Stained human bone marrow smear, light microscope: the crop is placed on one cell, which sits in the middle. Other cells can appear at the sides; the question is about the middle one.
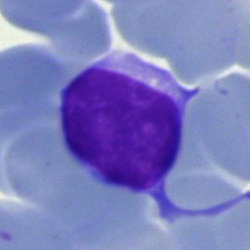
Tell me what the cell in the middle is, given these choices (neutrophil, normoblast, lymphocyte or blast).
lymphocyte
